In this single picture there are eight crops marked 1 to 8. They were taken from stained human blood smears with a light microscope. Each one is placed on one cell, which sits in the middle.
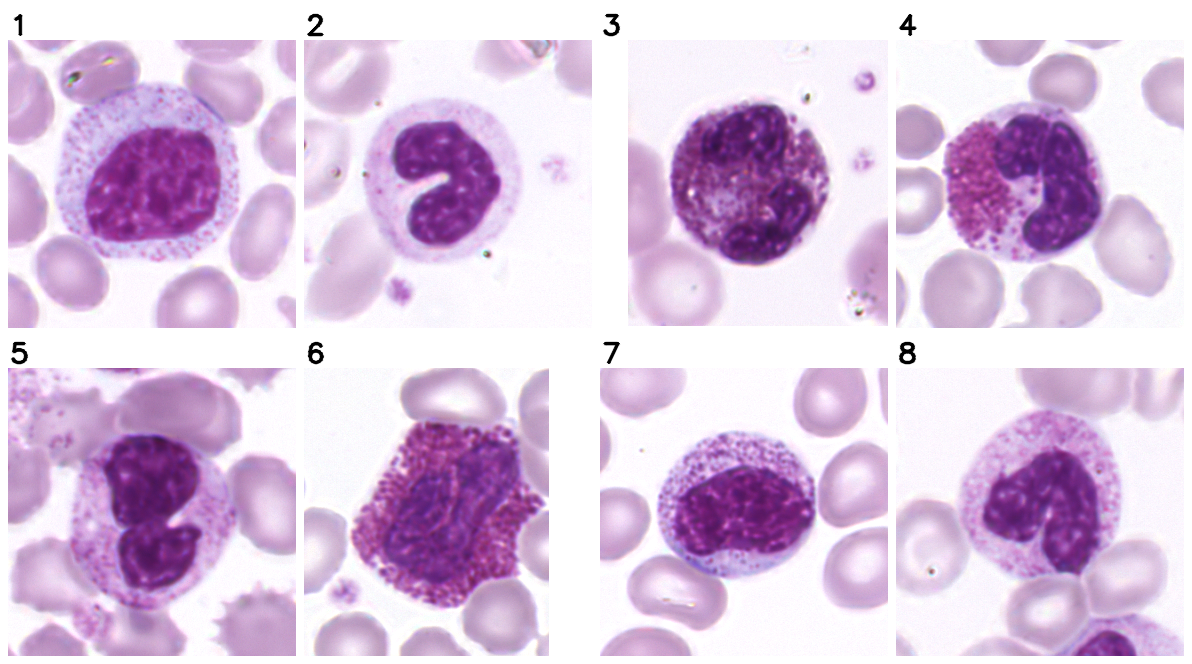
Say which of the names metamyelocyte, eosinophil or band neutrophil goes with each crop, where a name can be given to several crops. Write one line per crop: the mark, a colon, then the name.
1: metamyelocyte
2: band neutrophil
3: eosinophil
4: eosinophil
5: band neutrophil
6: eosinophil
7: metamyelocyte
8: band neutrophil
